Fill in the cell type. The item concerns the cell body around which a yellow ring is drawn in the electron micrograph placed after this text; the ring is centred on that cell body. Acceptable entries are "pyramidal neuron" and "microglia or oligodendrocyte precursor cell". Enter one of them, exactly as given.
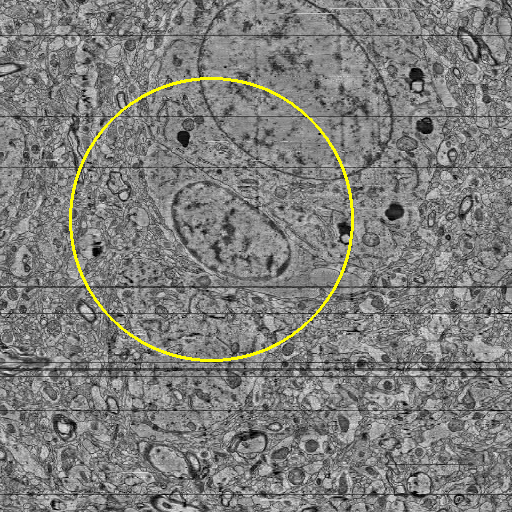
microglia or oligodendrocyte precursor cell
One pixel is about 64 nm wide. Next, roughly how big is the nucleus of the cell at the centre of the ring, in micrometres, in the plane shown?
The nucleus is approximately 8 micrometres long but only about 5 wide, clearly longer than it is wide in this plane.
